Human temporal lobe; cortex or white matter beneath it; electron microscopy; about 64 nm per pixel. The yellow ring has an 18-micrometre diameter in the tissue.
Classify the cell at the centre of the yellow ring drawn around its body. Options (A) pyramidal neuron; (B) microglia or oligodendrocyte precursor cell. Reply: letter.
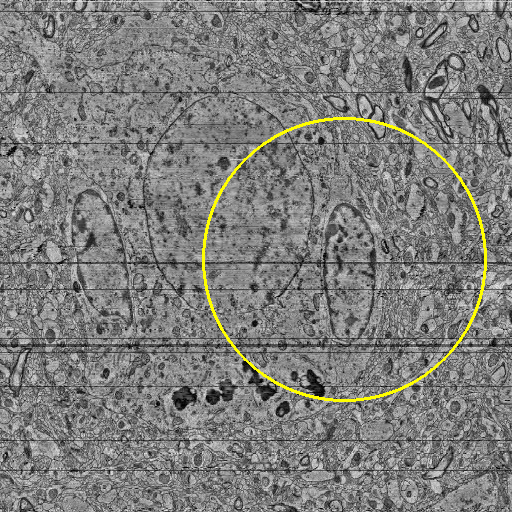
B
